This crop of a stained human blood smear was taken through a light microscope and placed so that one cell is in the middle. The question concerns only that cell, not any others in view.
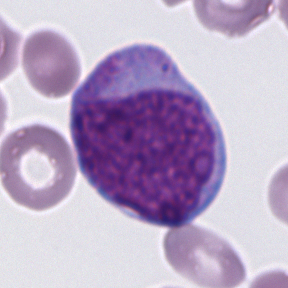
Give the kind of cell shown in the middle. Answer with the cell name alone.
atypical promyelocyte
